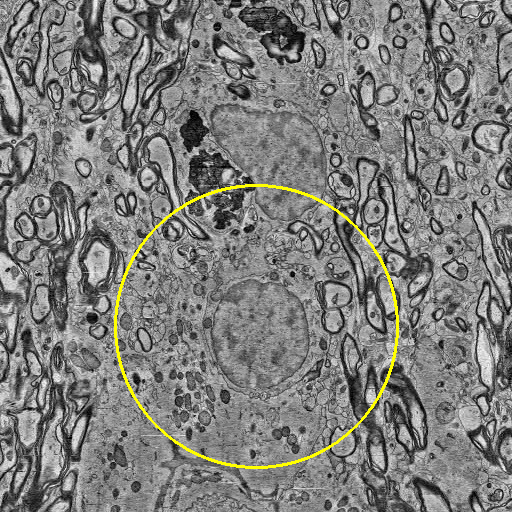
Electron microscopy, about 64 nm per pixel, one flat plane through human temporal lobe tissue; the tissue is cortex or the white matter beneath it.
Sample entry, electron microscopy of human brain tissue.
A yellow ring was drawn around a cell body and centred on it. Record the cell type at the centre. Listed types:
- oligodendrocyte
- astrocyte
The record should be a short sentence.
The cell at the ring's centre is an oligodendrocyte.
